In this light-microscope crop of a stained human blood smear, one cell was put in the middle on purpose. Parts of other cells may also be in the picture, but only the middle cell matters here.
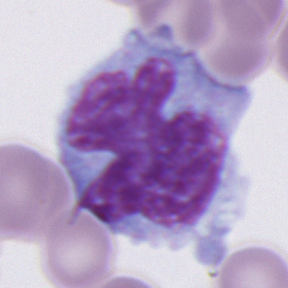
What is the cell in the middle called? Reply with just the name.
monocyte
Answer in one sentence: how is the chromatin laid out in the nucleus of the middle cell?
The chromatin shows a fine pattern without coarse clumps.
